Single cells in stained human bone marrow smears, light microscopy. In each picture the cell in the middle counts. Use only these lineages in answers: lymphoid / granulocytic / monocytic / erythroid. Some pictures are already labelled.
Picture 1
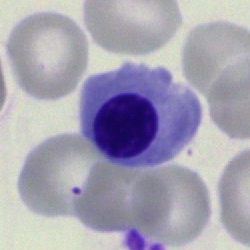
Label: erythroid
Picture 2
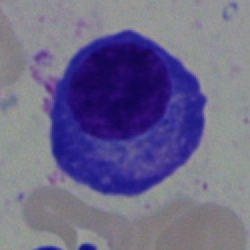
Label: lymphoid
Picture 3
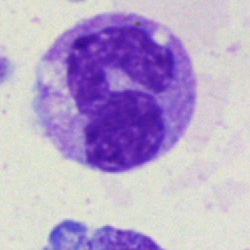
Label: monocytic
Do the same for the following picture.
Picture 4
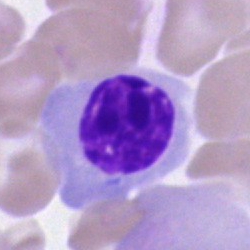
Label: erythroid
